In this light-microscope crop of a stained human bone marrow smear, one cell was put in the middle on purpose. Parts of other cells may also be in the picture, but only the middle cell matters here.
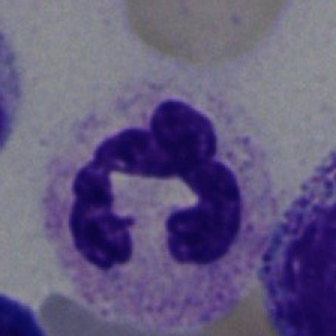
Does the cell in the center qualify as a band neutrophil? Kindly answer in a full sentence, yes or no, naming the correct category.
No, the cell placed in the centre is a segmented neutrophil and is not a band neutrophil.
